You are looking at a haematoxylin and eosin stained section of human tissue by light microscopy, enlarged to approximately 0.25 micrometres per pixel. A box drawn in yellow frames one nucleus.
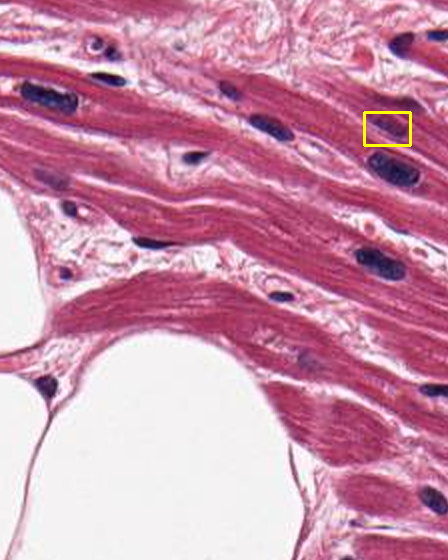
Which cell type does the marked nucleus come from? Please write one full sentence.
The marked nucleus is found in a cardiomyocyte.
